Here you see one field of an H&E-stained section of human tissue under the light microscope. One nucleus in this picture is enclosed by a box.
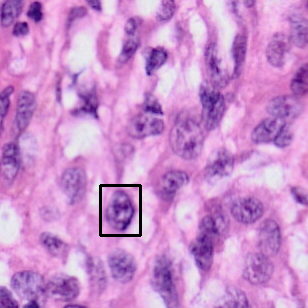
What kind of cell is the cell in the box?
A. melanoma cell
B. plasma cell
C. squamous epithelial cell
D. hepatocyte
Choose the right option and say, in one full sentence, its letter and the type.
In keeping with option A, the cell in the box is a melanoma cell.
